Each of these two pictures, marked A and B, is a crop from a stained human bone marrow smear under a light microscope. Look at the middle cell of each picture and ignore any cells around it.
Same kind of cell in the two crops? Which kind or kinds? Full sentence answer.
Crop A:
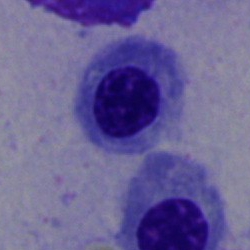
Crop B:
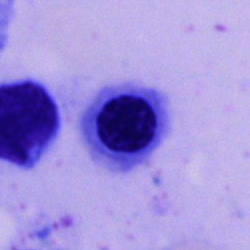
Yes, it is erythroblasts that sit at the centre of both crops.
